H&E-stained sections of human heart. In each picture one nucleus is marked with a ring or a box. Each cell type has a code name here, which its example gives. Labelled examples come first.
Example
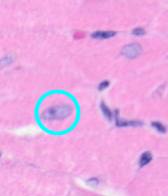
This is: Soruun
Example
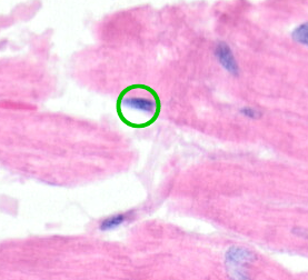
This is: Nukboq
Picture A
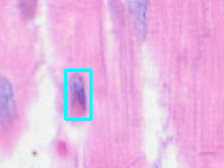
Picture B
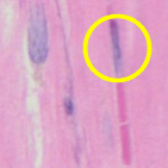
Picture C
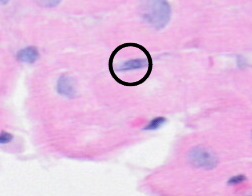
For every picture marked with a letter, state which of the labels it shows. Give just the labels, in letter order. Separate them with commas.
Nukboq, Nukboq, Nukboq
